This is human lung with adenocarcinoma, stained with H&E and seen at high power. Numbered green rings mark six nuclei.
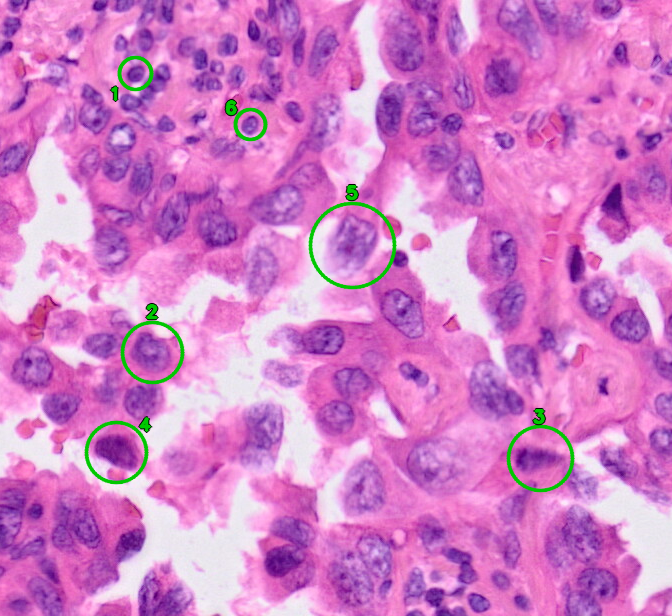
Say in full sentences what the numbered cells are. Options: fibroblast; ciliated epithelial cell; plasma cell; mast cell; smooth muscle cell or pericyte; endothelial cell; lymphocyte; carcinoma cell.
Cell 1 is a lymphocyte, cell 2 is a carcinoma cell, cell 3 is a carcinoma cell, cell 4 is a carcinoma cell, cell 5 is a carcinoma cell and cell 6 is a lymphocyte.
